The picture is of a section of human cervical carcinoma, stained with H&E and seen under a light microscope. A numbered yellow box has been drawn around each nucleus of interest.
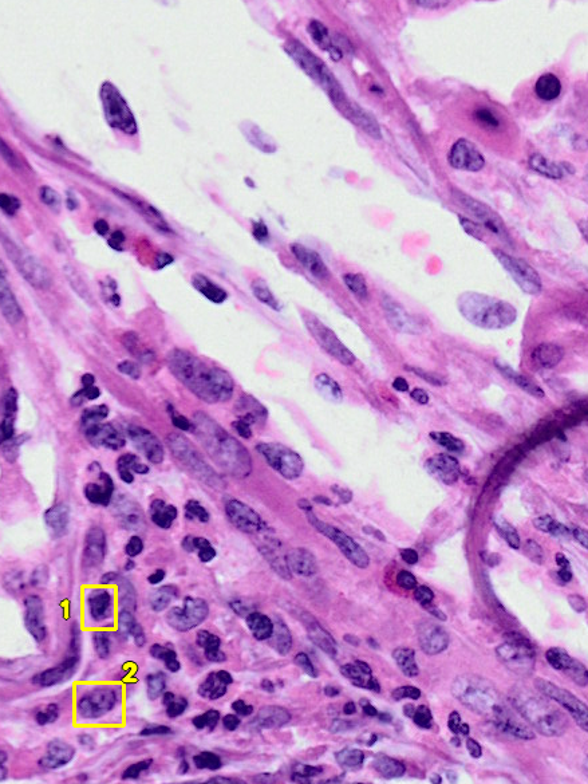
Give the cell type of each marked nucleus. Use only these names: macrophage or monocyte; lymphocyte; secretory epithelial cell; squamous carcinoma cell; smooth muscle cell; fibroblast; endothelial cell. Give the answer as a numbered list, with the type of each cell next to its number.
1. lymphocyte
2. macrophage or monocyte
